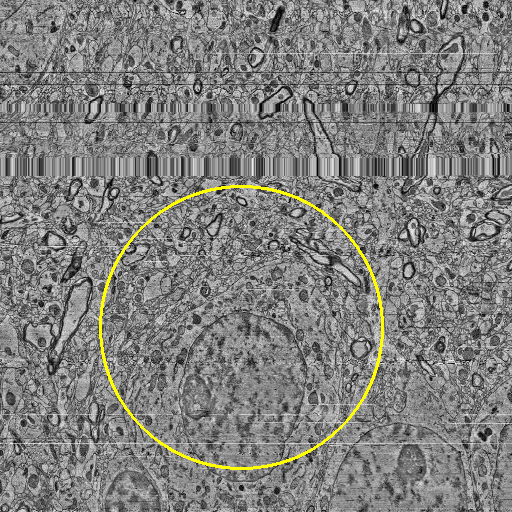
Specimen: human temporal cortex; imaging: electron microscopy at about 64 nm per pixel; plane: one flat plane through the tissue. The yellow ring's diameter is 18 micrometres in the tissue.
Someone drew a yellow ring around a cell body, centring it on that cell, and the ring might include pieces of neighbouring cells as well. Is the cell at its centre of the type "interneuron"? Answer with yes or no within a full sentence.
Yes, within the picture, the cell the ring is centred on qualifies as that type.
